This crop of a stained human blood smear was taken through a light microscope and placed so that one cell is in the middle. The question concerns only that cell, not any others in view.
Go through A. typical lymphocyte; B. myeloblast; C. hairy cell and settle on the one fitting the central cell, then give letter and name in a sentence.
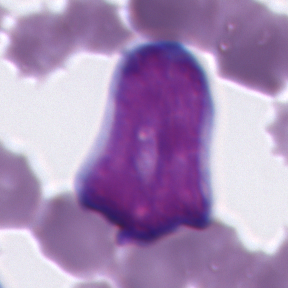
The cell in the middle is a myeloblast, so option B is correct.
